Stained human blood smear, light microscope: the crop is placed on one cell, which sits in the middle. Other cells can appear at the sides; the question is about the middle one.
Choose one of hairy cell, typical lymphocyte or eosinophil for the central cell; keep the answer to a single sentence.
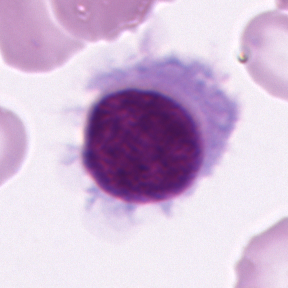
Regarding the central cell, it is a hairy cell.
